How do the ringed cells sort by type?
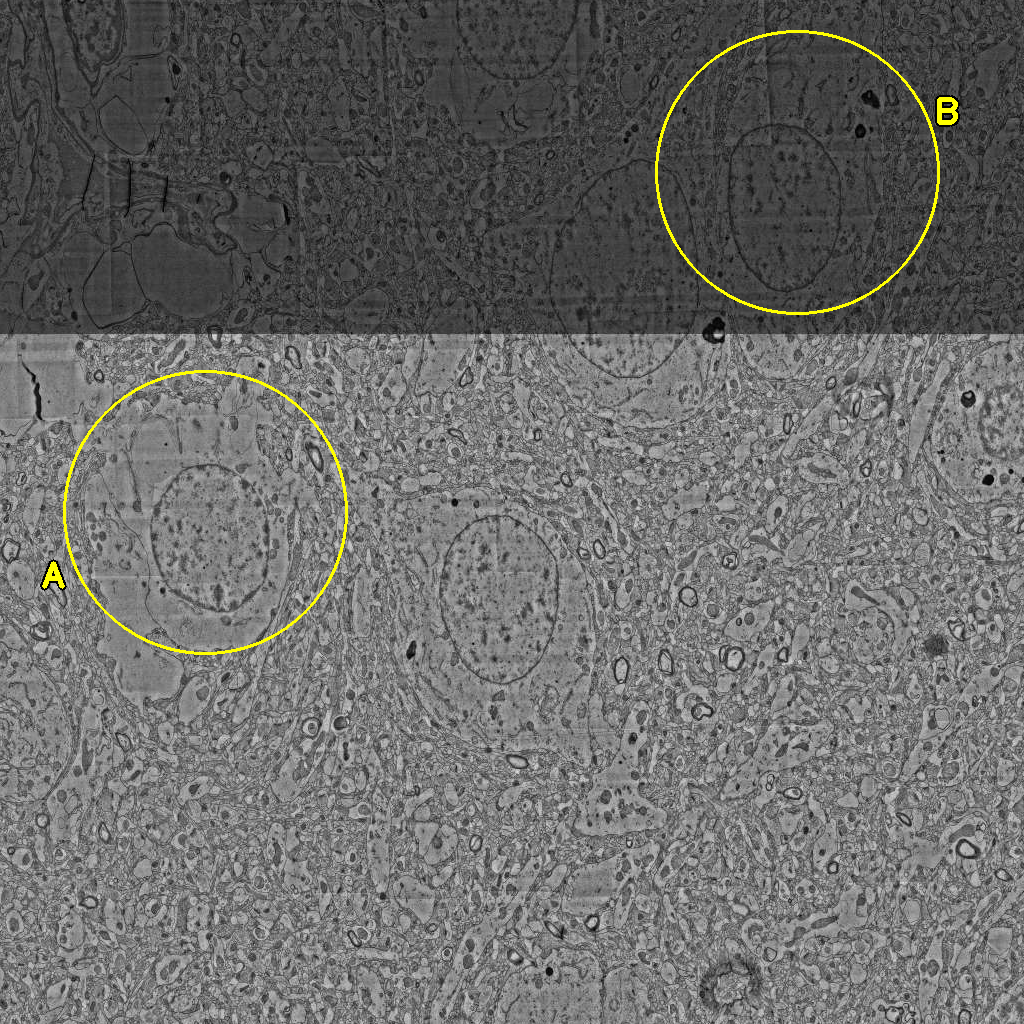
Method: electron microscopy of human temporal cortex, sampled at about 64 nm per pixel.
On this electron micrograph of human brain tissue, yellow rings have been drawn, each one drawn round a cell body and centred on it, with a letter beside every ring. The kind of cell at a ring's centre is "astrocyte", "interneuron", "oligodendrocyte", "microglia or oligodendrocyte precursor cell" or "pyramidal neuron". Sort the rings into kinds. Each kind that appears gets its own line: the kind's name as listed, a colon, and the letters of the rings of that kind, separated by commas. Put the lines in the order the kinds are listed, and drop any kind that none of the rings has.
astrocyte: A
pyramidal neuron: B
